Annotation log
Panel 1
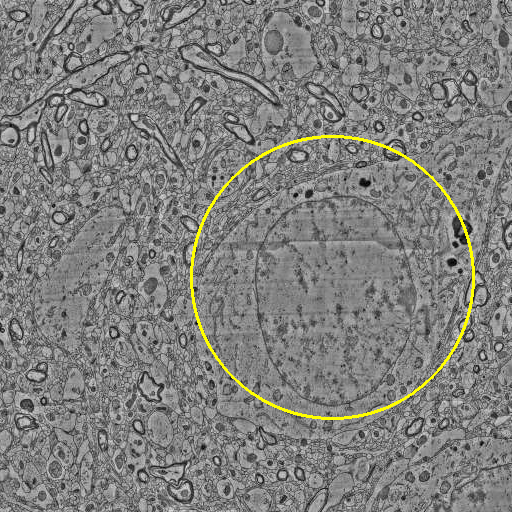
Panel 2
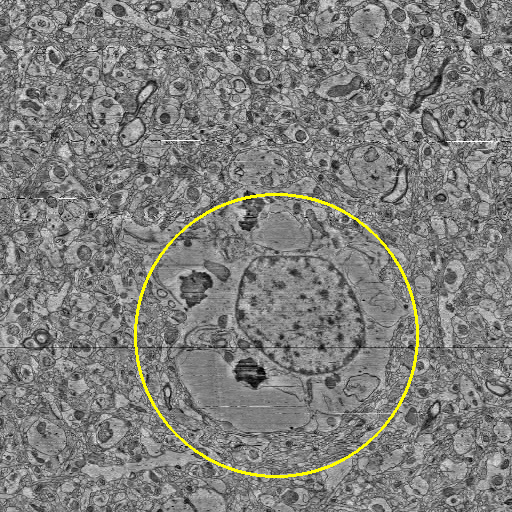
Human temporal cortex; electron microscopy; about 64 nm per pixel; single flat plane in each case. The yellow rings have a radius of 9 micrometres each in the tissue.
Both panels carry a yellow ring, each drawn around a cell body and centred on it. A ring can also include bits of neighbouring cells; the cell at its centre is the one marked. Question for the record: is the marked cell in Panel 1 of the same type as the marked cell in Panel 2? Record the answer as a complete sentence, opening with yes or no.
No, the marked cells in Panel 1 and Panel 2 are of two types.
